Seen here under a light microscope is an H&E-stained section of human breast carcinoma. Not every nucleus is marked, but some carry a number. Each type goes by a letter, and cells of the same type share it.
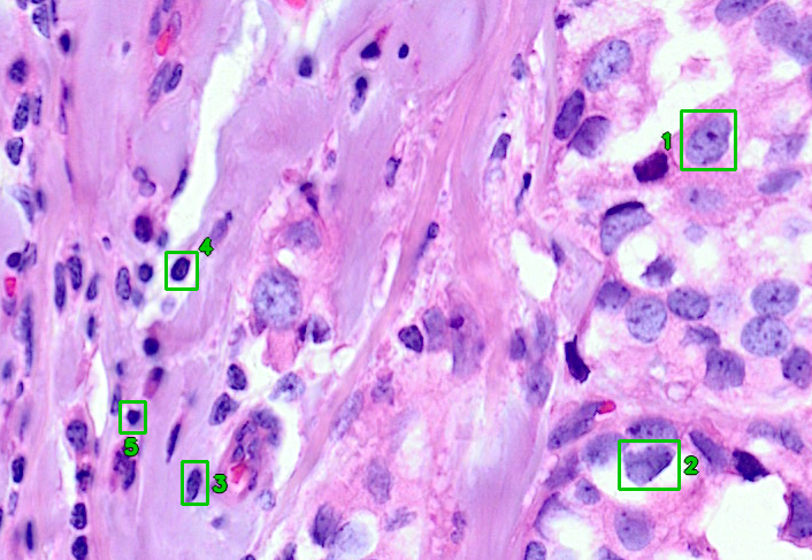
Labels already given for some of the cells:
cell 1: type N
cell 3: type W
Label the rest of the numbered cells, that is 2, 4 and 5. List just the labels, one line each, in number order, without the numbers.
type N
type W
type W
